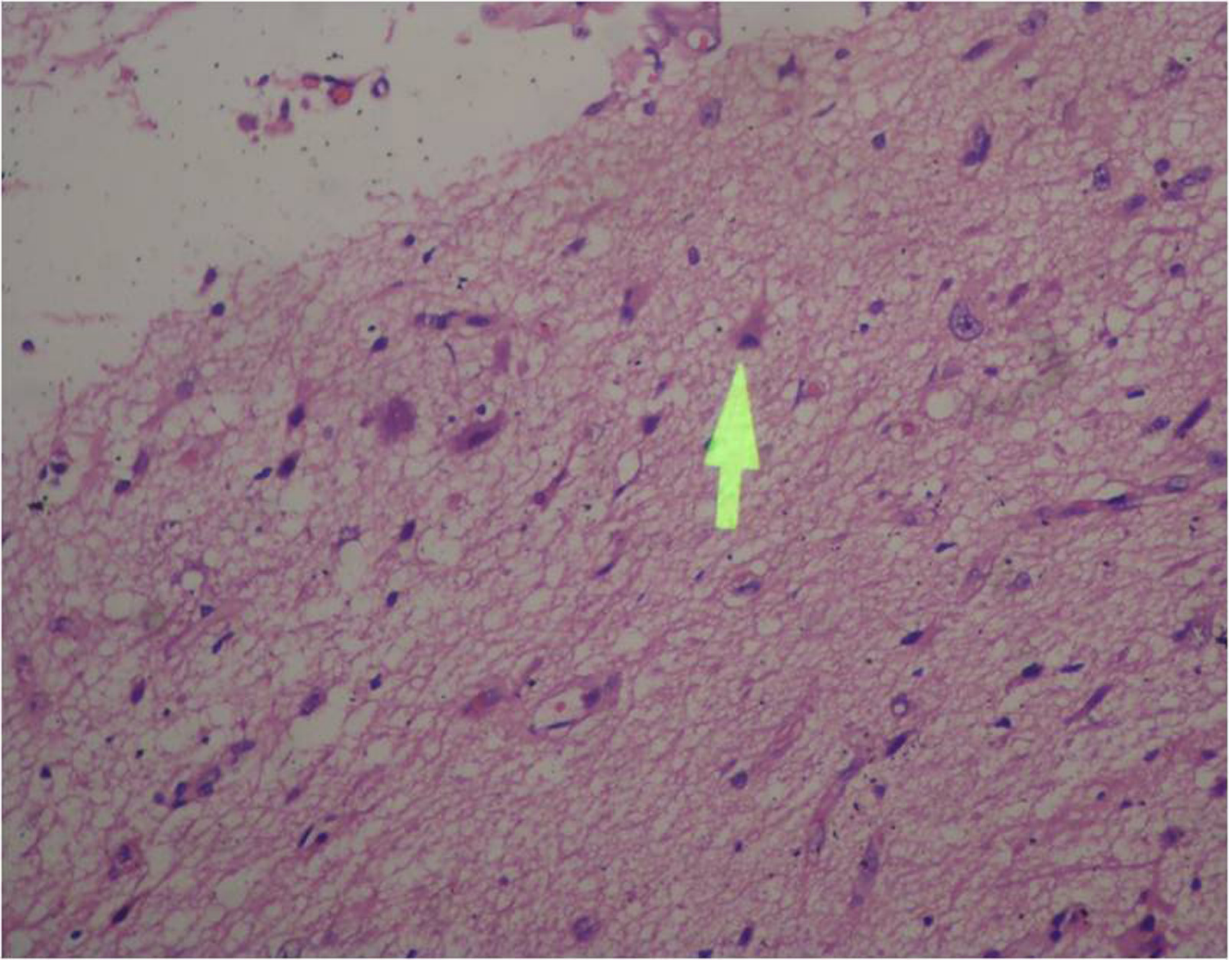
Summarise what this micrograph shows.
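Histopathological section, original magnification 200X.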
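Mature glial tissue with scattered astrocytes set in a pale pink, finely fibrillary matrix with many small clear vacuoles. Nuclei are small, dark purple, round to elongated and spaced irregularly apart. A few larger cells have rounded or angular pink cytoplasm with short processes running into the fibrillary background. Small vessels containing red blood cells lie within the tissue, and an empty space borders the upper left edge.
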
